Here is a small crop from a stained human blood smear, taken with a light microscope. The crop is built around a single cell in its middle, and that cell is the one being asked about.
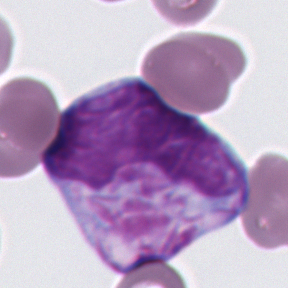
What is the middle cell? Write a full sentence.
The cell shown in the center of this light-microscope crop is an atypical promyelocyte.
